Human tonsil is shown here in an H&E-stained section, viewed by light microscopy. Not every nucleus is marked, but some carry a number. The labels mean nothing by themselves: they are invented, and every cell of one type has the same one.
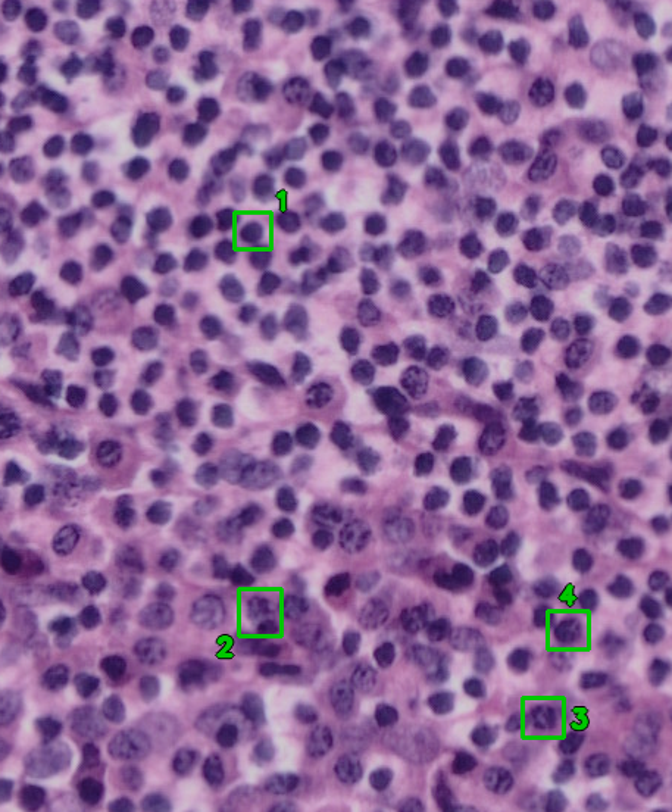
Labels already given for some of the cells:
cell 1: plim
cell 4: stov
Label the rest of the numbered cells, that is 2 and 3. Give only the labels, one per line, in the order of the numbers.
stov
stov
